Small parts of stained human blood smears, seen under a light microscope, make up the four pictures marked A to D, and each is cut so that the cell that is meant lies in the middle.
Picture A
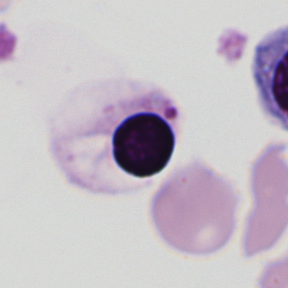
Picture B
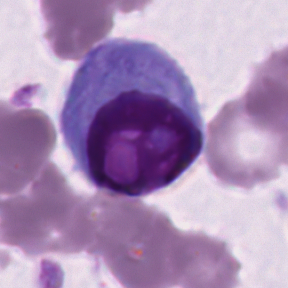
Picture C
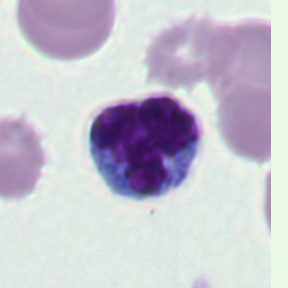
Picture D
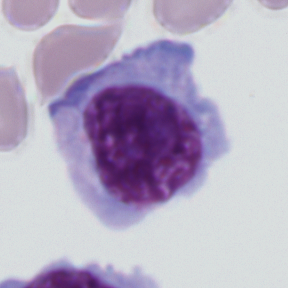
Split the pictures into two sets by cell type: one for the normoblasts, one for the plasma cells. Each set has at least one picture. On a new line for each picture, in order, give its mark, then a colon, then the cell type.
A: normoblast
B: plasma cell
C: plasma cell
D: plasma cell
